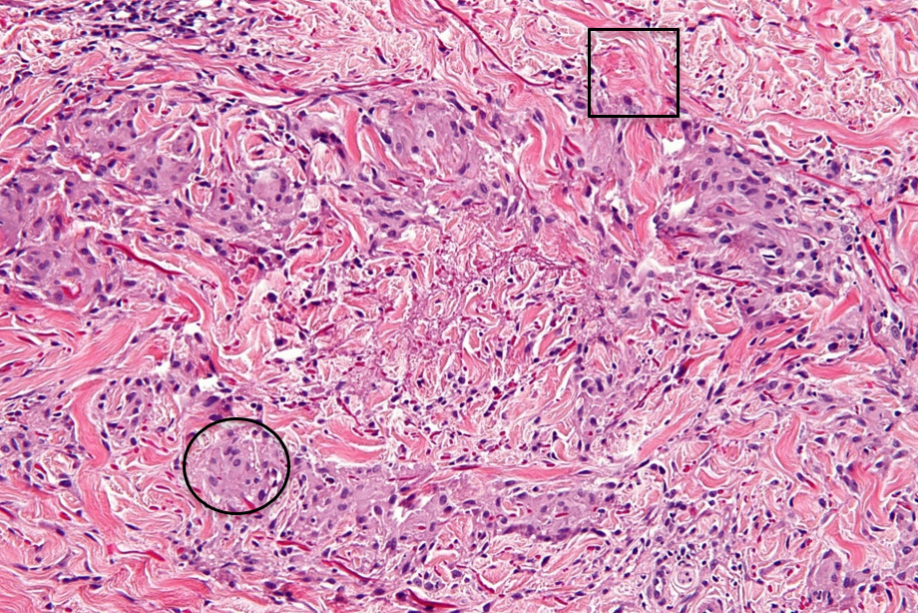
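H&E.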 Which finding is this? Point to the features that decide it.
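A band of cells with oval nuclei and pale pink cytoplasm forms a ring. The ring surrounds a central zone of loose, pale, wispy material among pink fibers. Dense pink fibrous tissue lies around the ring. So: granuloma annulare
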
